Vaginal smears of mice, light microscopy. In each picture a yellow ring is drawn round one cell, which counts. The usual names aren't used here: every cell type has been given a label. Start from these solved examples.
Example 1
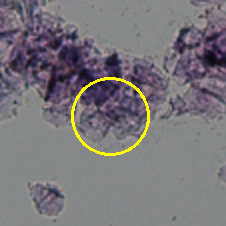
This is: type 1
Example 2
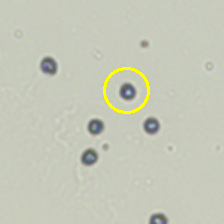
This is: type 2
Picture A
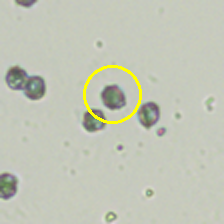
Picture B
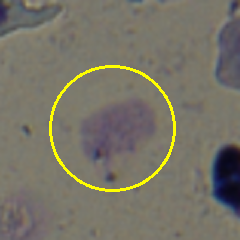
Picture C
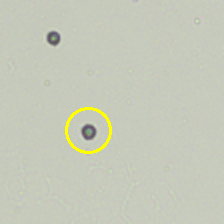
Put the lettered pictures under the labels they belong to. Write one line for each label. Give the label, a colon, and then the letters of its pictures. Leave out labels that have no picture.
type 1: B
type 2: A, C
